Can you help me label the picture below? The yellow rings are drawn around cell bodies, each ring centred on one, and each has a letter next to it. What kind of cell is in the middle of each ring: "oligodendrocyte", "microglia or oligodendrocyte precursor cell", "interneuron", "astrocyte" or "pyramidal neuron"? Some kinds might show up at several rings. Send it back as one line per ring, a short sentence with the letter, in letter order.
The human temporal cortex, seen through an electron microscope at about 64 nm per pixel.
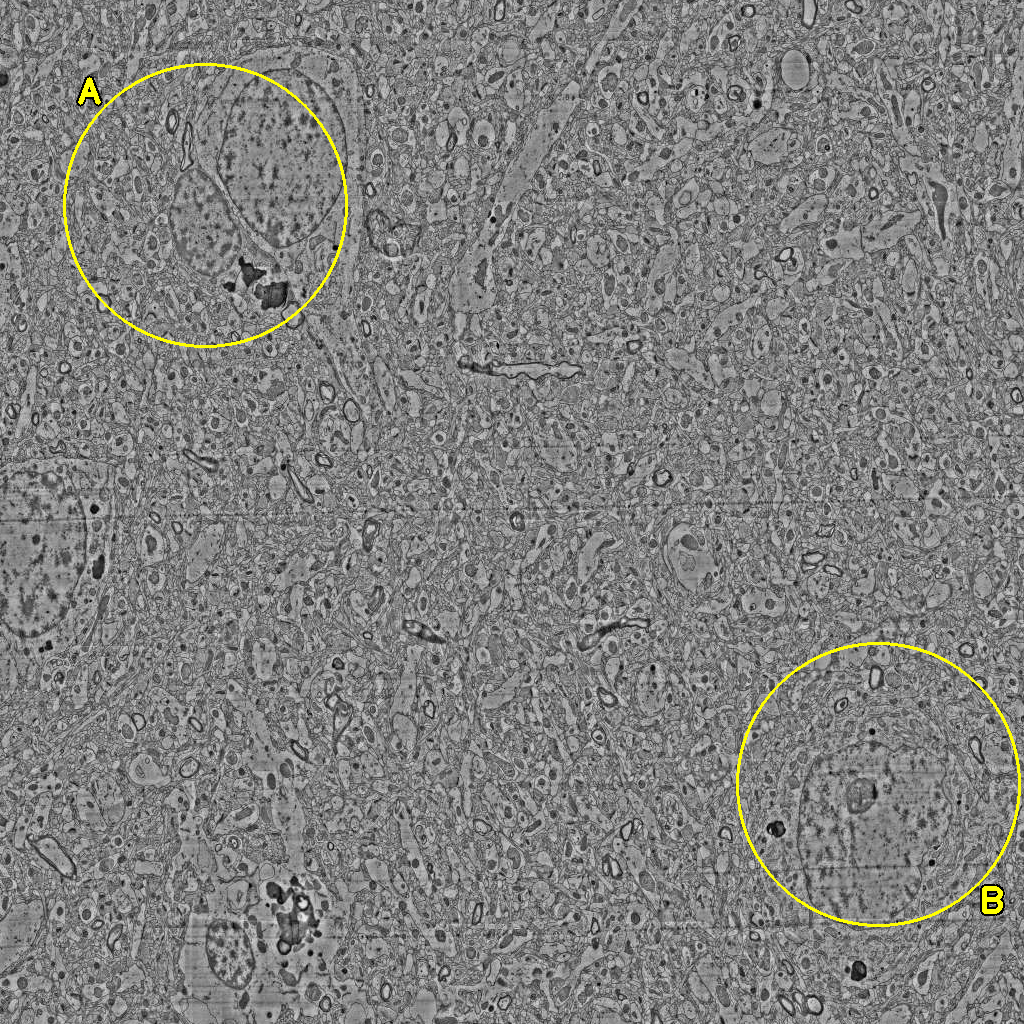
Ring A has an oligodendrocyte in the middle.
Ring B has an interneuron in the middle.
